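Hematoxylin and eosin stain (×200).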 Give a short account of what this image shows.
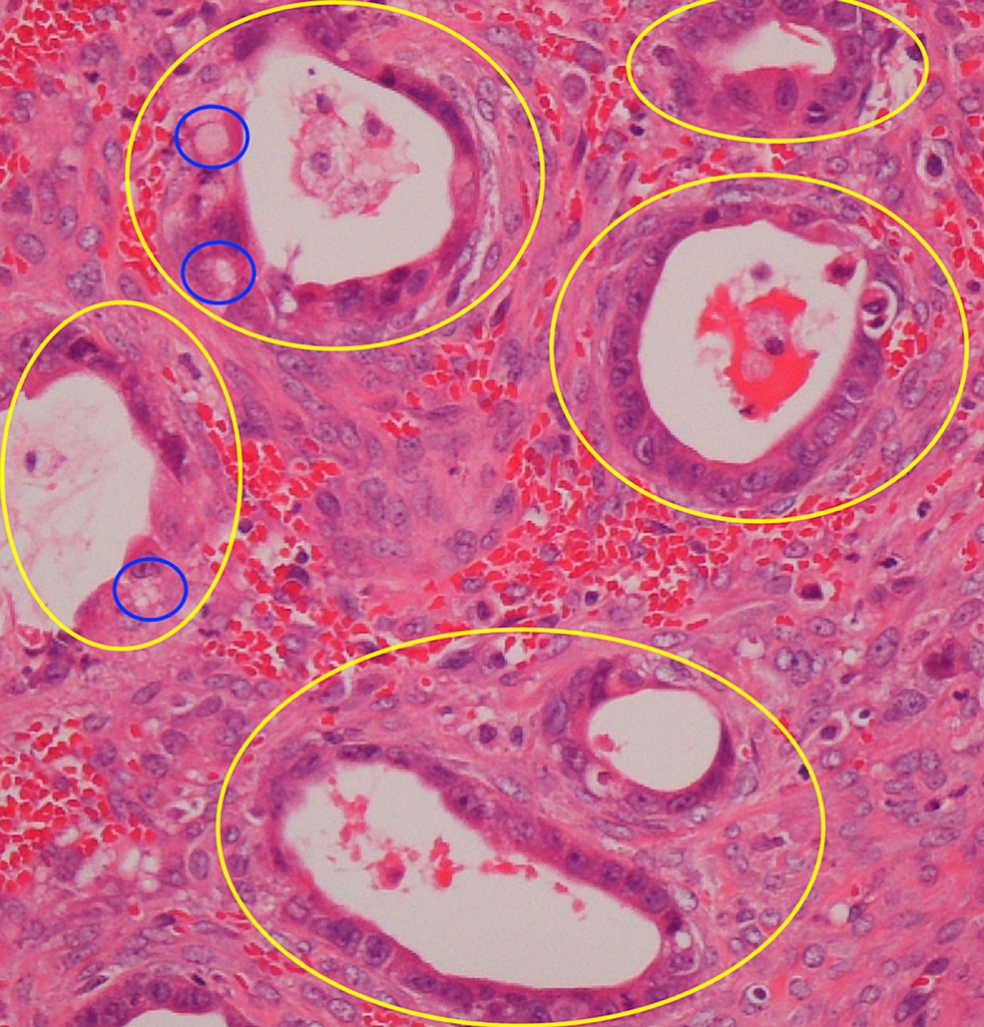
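Tumor tissue in which atypical epithelial cells form several gland-like ducts with open, rounded to elongated lumens. The lining cells are columnar to cuboidal, with enlarged, oval nuclei of varying size, open chromatin and visible nucleoli. Some lumens contain pale, wispy material, detached cells and bright pink debris. Within the lining there are small rounded cells or vacuoles with pale, bubbly content. Between the ducts, sheets of crowded tumor cells with pink cytoplasm and large pleomorphic nuclei grow in solid areas, mixed with fibrous pink stroma. Many red blood cells lie scattered in the stroma between the ducts.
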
